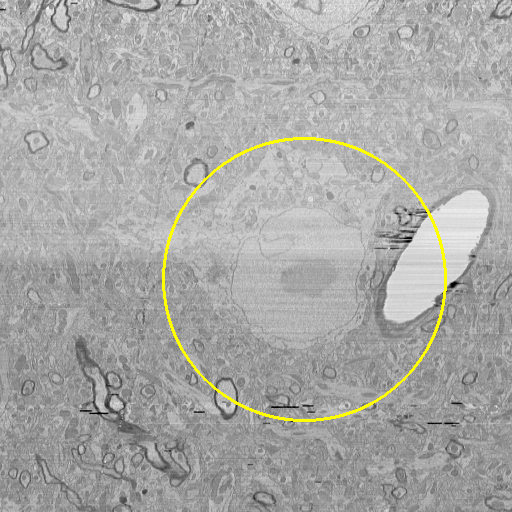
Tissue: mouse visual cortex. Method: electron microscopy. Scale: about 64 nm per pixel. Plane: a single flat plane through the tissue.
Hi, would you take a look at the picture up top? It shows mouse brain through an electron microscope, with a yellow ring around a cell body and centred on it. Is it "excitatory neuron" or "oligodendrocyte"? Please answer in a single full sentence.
The best fit for the cell in the middle of the ring is an excitatory neuron, I reckon.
